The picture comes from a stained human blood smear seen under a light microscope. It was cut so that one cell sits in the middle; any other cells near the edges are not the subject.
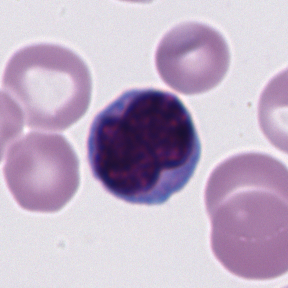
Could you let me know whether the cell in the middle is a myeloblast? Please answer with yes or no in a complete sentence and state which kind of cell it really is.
No, the central cell is properly termed a typical lymphocyte, not a myeloblast.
